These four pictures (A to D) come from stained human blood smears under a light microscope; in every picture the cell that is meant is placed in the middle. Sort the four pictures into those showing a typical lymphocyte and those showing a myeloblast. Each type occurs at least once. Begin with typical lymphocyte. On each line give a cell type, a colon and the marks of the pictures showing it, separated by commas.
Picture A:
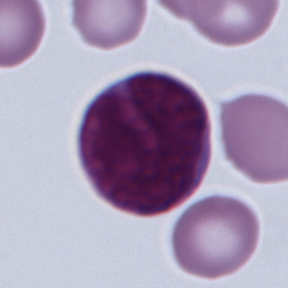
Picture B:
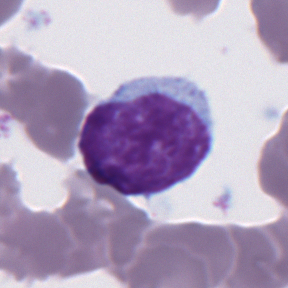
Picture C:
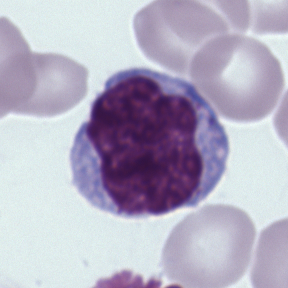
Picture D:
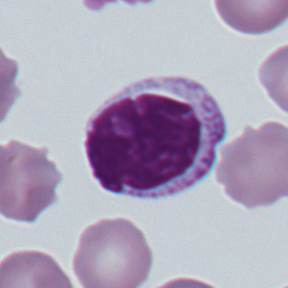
typical lymphocyte: B, C, D
myeloblast: A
